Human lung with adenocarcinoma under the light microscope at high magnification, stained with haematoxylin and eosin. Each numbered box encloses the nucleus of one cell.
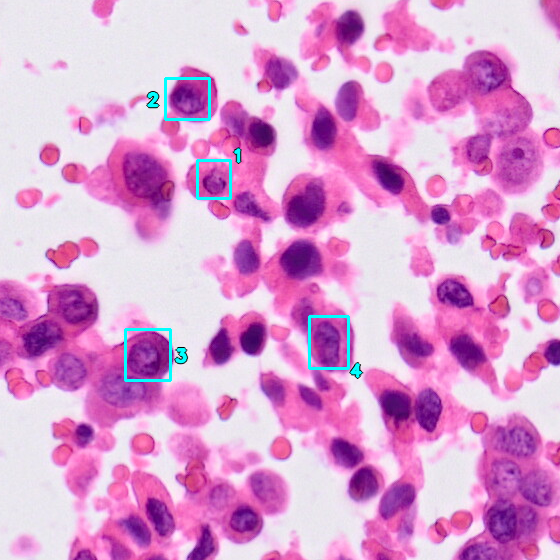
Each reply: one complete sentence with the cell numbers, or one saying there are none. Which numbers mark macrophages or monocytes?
Only the cell numbered 1 is a macrophage or monocyte, and the others are something else.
